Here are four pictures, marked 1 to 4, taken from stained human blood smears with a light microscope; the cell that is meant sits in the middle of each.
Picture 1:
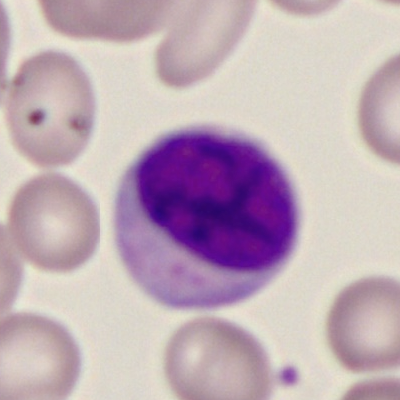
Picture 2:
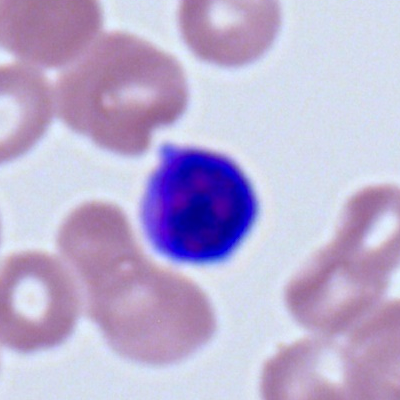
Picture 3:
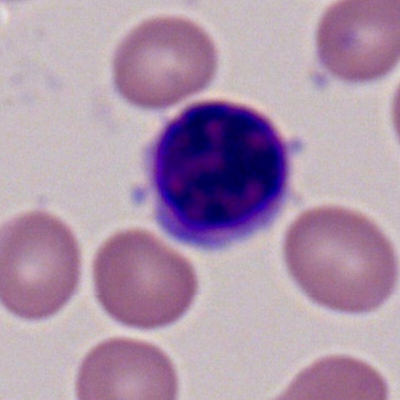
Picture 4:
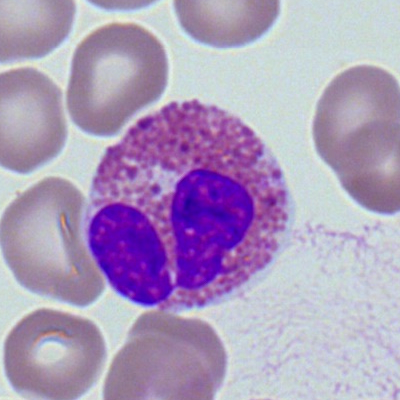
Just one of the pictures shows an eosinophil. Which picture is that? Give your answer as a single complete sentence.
The picture with the eosinophil is 4.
